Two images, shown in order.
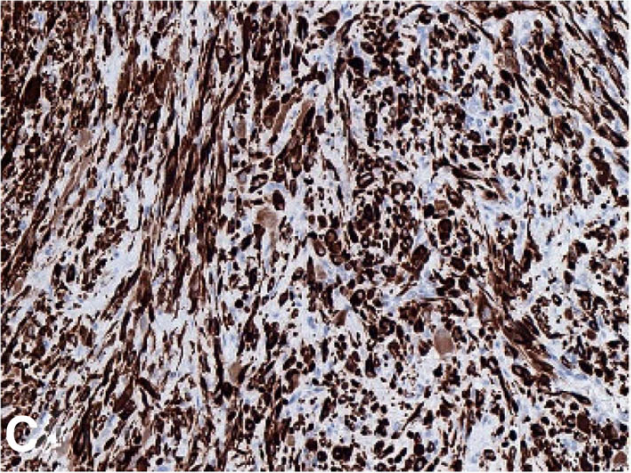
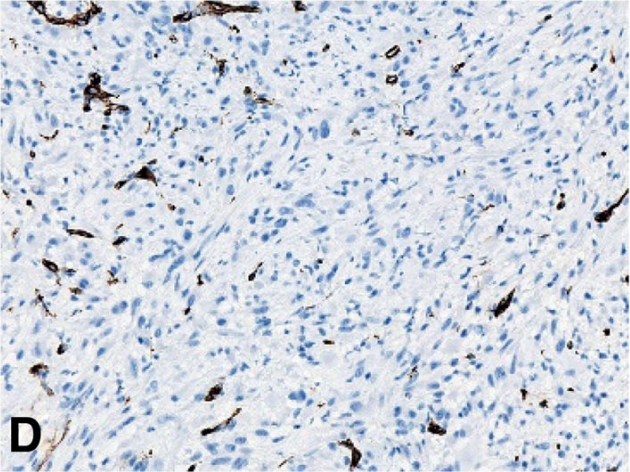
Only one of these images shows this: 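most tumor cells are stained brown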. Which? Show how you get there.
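Second image: the tumor cell nuclei are blue with only scattered thin brown structures between them. First image: nearly all tumor cells are intensely brown.
Conclusion: the first image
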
